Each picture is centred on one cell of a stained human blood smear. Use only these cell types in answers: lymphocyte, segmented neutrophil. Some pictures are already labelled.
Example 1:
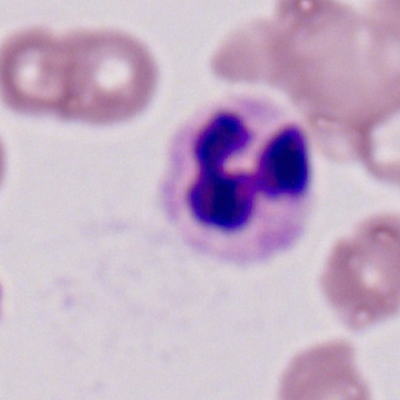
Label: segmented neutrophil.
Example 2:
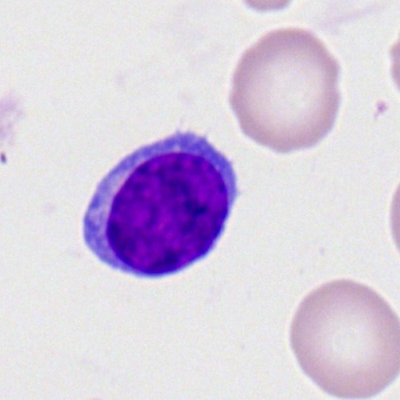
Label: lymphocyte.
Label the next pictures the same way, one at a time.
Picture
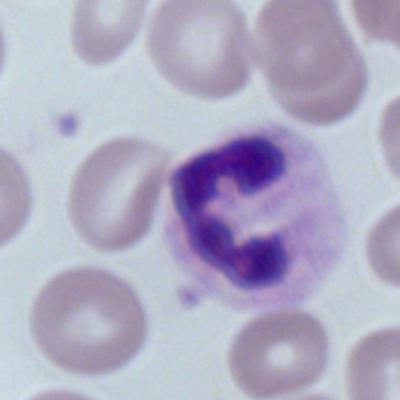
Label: segmented neutrophil.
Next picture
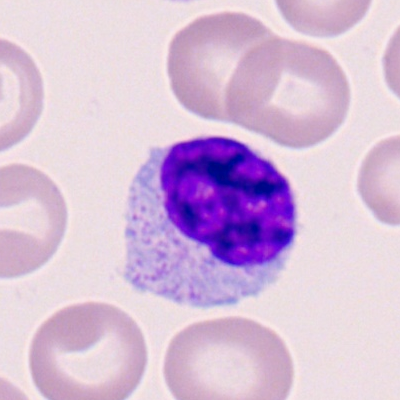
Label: lymphocyte.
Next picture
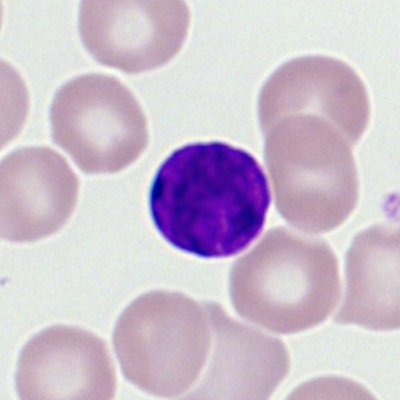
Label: lymphocyte.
